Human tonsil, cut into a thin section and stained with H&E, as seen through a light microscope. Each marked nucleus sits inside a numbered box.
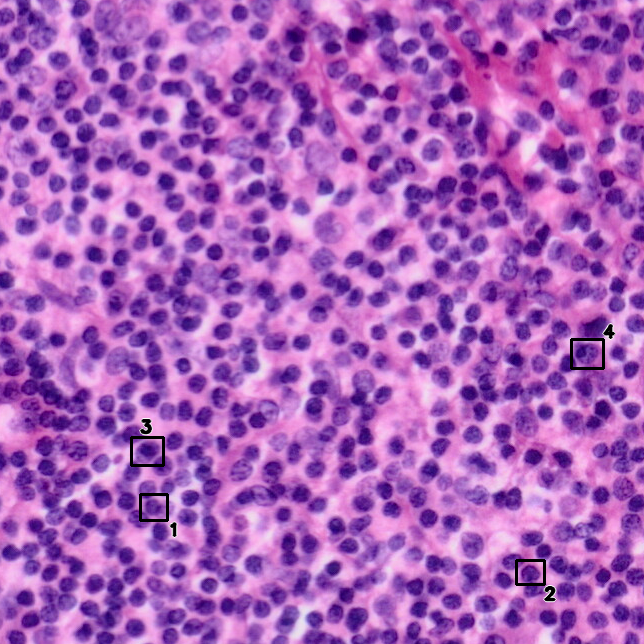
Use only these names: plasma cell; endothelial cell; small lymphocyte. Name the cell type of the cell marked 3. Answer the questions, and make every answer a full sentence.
Number 3 among the marked cells is a small lymphocyte.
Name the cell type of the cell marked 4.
Regarding cell 4, this one is a plasma cell.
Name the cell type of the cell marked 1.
Of the numbered cells, the one labelled 1 is a small lymphocyte.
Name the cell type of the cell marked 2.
In this section, the cell tagged 2 is a small lymphocyte.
